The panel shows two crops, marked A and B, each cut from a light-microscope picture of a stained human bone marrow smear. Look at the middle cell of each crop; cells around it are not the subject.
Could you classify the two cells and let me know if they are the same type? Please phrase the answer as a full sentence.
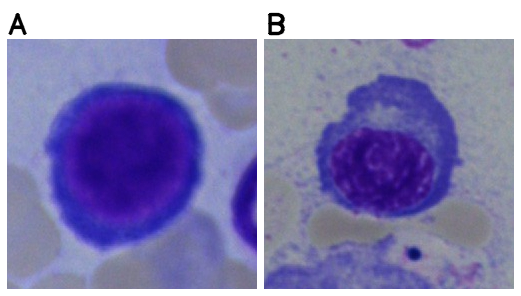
No, the assignment should read crop A, a proerythroblast; crop B, a plasma cell.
